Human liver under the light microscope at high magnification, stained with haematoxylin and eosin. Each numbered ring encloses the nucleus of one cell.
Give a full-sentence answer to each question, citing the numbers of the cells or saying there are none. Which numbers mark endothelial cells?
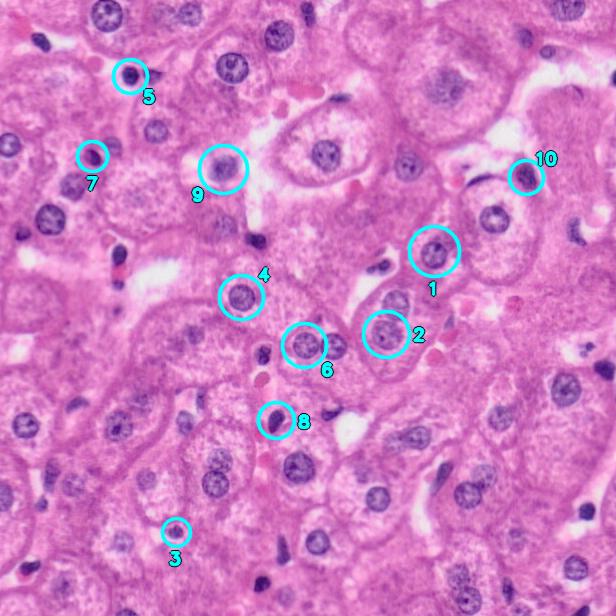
Cell 9 is the only numbered cell that is an endothelial cell.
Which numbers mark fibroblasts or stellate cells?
Cells 7 and 8 share one type; they are fibroblasts or stellate cells.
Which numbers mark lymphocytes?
The cells referred to by numbers 3 and 5 are lymphocytes.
